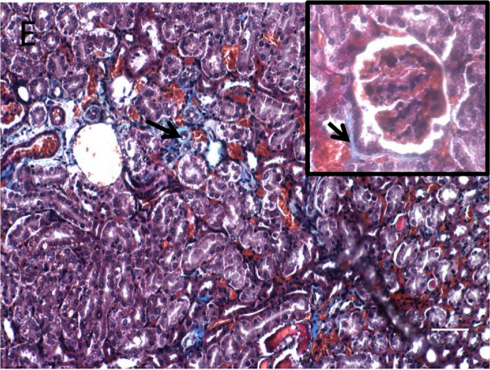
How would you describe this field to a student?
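Renal tissue with densely packed tubules whose epithelium stains purple-pink, with scattered red-stained areas between them. Blue-stained strands of fibrosis run through the interstitium between tubules and around a round open vessel-like space. An inset shows a glomerulus with its tuft separated from the surrounding capsule by a clear space.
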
